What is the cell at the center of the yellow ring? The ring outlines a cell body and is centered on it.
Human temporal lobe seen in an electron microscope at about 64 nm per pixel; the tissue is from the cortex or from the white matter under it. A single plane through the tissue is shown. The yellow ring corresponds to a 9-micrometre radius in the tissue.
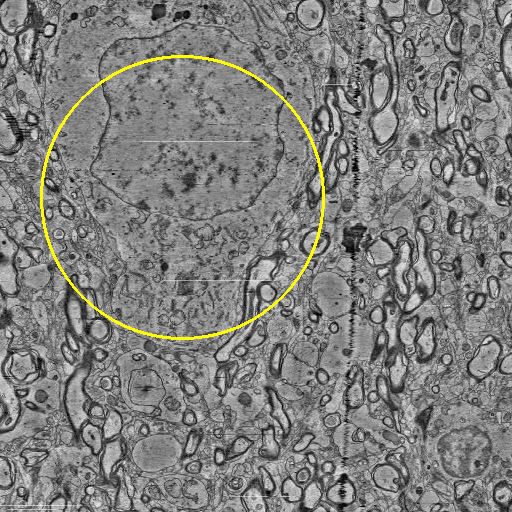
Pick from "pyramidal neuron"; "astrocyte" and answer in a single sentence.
The yellow ring is centered on a pyramidal neuron.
